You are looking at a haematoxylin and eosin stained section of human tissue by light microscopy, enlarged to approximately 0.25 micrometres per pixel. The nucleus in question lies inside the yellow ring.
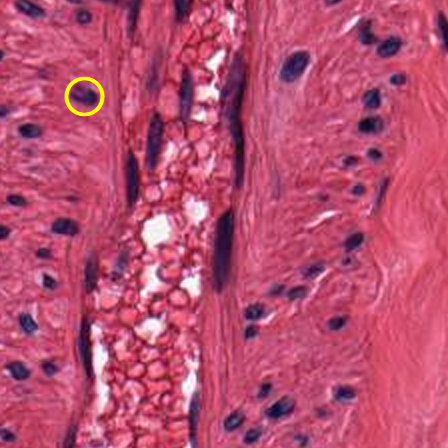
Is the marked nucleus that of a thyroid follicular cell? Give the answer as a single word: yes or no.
no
